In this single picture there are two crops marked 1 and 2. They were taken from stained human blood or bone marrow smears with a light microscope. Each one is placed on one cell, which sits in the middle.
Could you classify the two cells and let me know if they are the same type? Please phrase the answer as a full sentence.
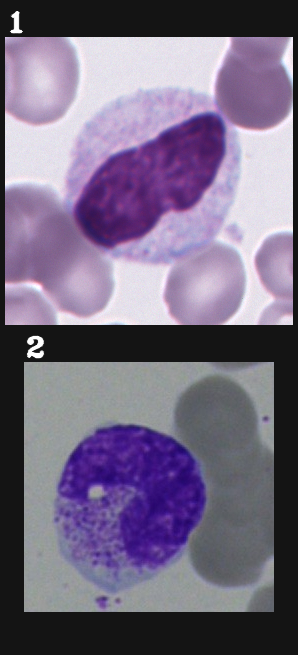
Yes, the two central cells, one per crop, are band neutrophils.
